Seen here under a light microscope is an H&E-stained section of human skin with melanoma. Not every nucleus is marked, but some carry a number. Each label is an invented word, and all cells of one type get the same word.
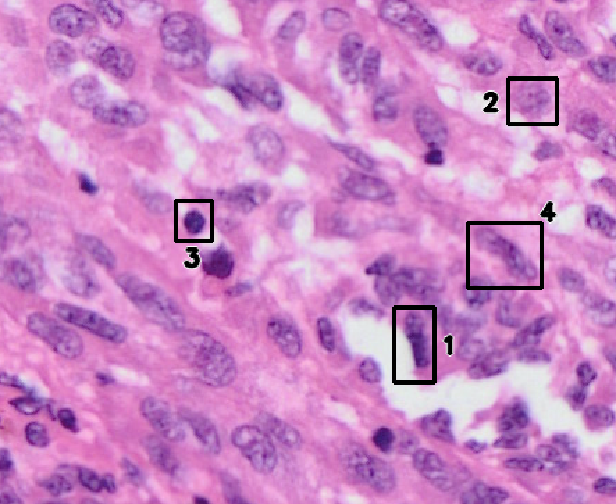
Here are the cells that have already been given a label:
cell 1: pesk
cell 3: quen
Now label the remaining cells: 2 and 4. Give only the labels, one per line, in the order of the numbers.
pesk
pesk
